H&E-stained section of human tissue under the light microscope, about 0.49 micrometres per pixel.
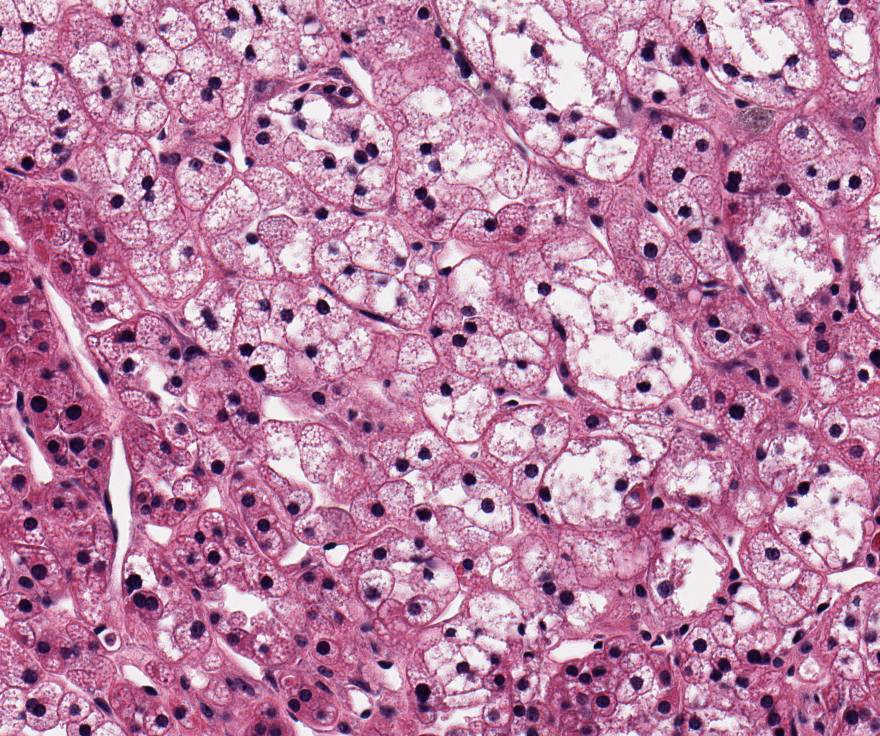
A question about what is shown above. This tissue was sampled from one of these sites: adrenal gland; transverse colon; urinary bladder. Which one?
adrenal gland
